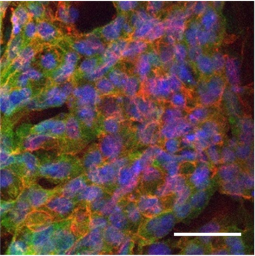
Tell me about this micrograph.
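The cells are crowded and roughly polygonal, with little space between them. Each cell holds a single oval blue nucleus, often centrally placed. A few dark gaps lacking cells interrupt the sheet near the upper left. Overall the cells form a confluent, multilayered-looking cluster rather than isolated spread cells.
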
